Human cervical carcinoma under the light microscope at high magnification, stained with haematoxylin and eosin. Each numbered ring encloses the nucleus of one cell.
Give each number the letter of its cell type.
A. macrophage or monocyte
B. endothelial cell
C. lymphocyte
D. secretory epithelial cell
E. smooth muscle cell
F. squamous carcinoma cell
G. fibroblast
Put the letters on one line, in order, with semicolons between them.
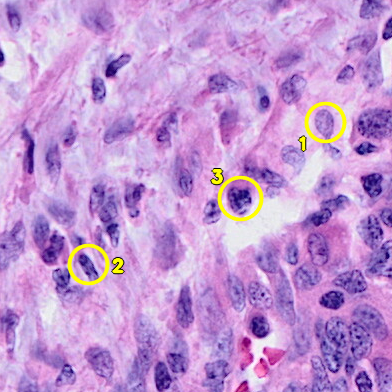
A; C; C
